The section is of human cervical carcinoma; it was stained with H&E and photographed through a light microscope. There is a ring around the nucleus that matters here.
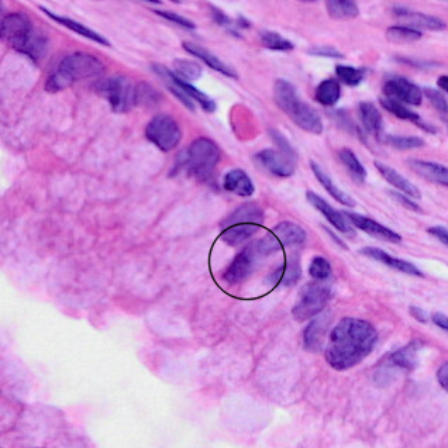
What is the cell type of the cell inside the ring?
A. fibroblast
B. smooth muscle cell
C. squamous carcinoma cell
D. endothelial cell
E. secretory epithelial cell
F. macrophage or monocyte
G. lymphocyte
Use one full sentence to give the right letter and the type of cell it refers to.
Option E is correct in stating that the cell inside the ring is a secretory epithelial cell.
